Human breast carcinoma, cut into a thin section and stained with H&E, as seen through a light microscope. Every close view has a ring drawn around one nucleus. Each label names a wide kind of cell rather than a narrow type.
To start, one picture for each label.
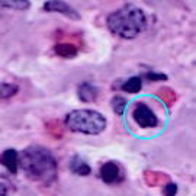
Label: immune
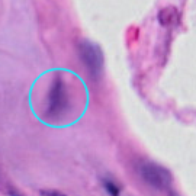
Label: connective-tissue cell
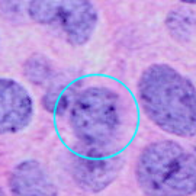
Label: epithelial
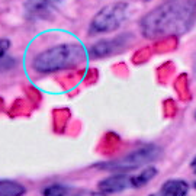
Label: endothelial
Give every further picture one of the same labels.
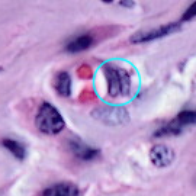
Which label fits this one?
endothelial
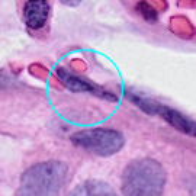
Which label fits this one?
endothelial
